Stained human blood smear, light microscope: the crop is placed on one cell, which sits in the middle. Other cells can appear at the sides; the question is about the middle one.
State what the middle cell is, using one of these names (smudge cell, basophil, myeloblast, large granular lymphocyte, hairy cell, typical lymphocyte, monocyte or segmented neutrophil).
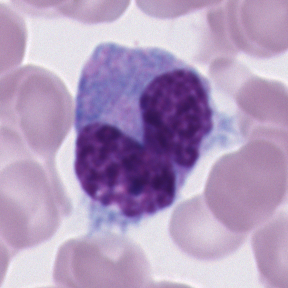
monocyte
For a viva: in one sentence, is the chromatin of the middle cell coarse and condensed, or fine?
One feature to record is coarsely clumped chromatin.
